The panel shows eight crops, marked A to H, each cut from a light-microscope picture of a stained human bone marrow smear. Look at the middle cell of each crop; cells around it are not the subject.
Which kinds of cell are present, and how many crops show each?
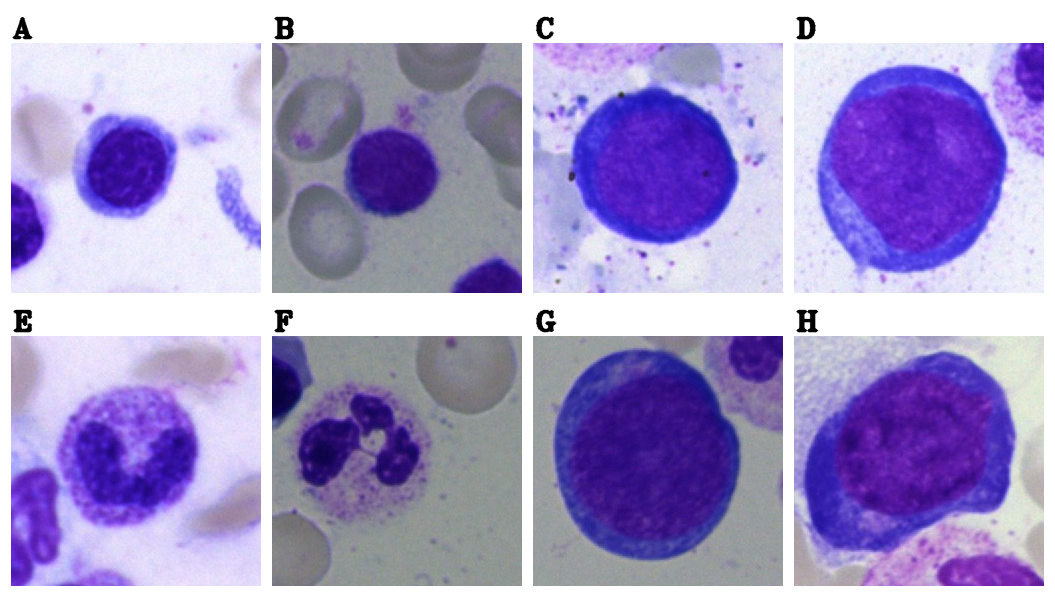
proerythroblast: 4
lymphocyte: 2
segmented neutrophil: 2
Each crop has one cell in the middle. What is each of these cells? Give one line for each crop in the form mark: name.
A: lymphocyte
B: lymphocyte
C: proerythroblast
D: proerythroblast
E: segmented neutrophil
F: segmented neutrophil
G: proerythroblast
H: proerythroblast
